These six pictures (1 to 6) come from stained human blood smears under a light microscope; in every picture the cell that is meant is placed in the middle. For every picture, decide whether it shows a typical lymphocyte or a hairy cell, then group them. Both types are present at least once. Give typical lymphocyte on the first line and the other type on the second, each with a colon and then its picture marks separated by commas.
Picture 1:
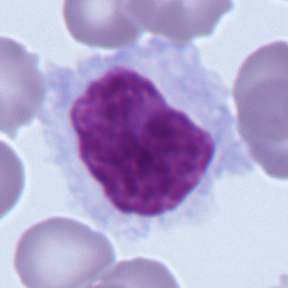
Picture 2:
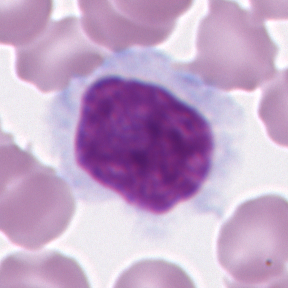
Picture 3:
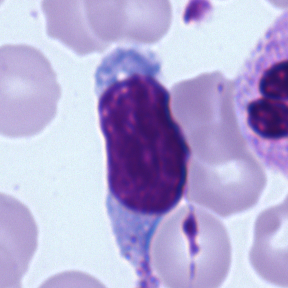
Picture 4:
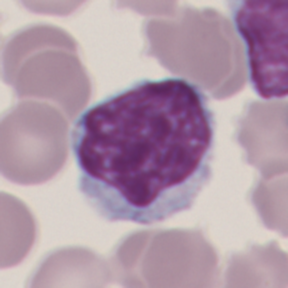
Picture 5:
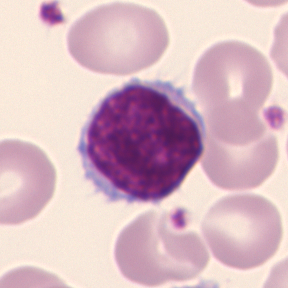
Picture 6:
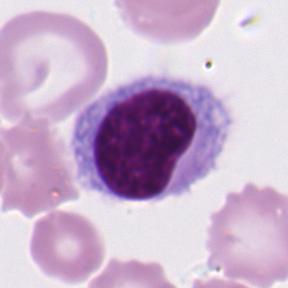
typical lymphocyte: 3, 4, 5
hairy cell: 1, 2, 6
